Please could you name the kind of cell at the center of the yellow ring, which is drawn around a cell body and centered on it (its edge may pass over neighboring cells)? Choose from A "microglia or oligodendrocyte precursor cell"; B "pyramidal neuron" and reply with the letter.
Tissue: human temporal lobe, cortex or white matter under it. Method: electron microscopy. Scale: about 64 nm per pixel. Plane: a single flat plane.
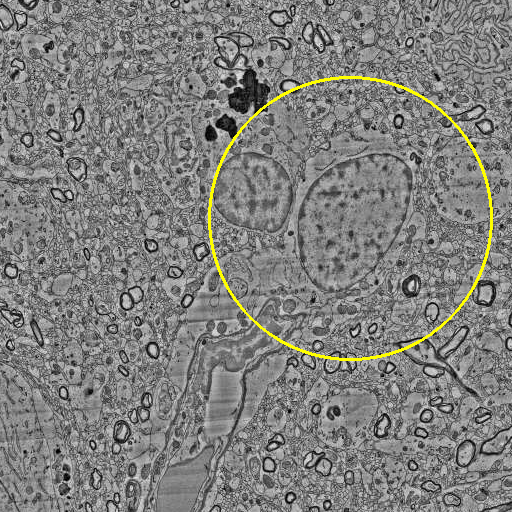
A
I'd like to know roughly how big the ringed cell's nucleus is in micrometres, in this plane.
Roughly 10 by 6 micrometres; in this plane, clearly longer than it is wide.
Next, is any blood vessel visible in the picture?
Yes, one appears.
